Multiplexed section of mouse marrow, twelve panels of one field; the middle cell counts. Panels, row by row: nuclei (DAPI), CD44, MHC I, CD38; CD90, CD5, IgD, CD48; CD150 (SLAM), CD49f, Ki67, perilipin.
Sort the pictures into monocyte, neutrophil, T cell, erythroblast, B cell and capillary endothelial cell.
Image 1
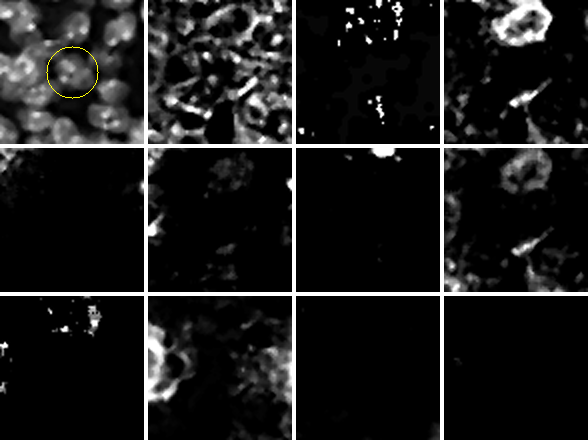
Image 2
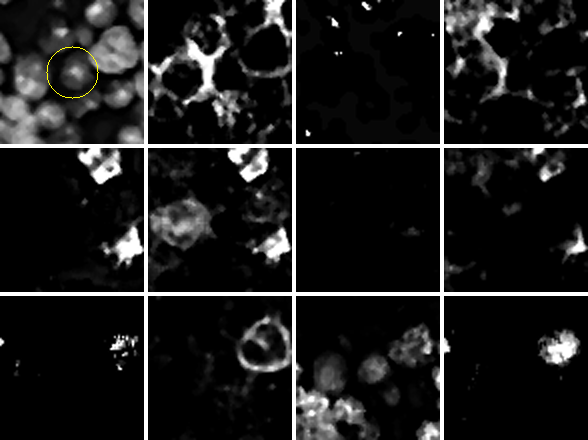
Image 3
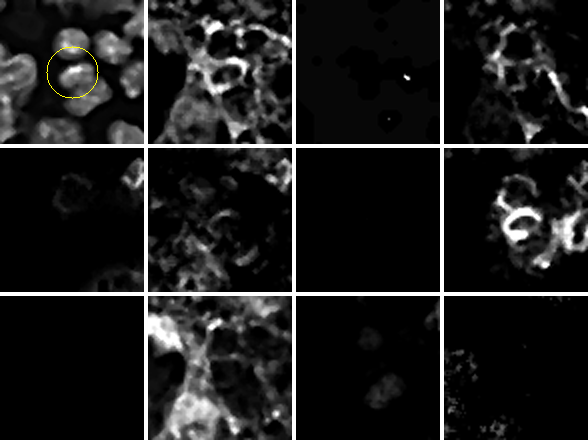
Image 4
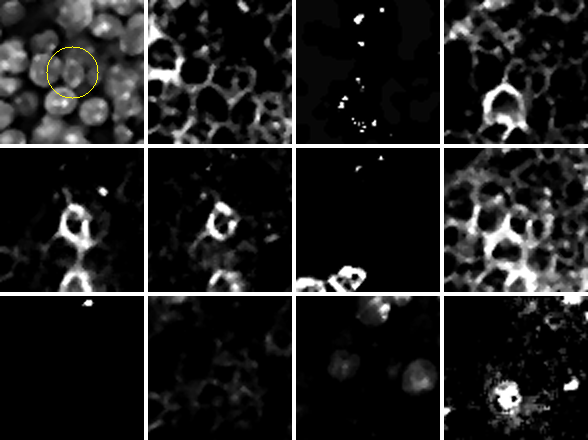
Neutrophils: 1
Capillary endothelial cells: 2
Monocytes: 3
T cells: 4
